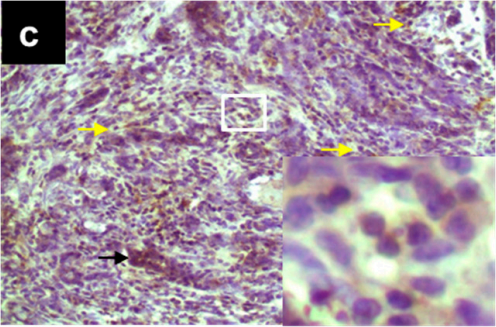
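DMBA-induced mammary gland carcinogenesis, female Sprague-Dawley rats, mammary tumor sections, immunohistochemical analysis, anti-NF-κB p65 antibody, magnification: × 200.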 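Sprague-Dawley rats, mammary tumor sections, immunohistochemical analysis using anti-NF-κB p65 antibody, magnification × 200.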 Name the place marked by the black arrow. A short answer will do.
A: Cytoplasm.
